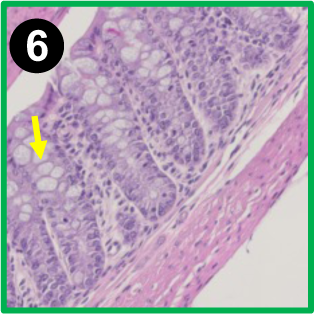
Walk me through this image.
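Colon mucosa with straight, parallel crypts running perpendicular toward a pink band of smooth muscle at the lower right. Crypts are lined by columnar epithelium with many goblet cells holding large pale, rounded mucin vacuoles, and basal dark purple nuclei. Lamina propria between crypts contains scattered small nucleated cells. The muscle layer shows elongated spindle nuclei in pink cytoplasm.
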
